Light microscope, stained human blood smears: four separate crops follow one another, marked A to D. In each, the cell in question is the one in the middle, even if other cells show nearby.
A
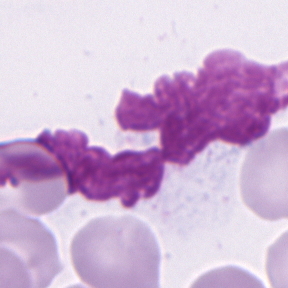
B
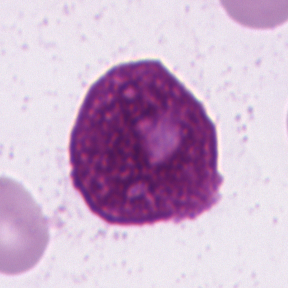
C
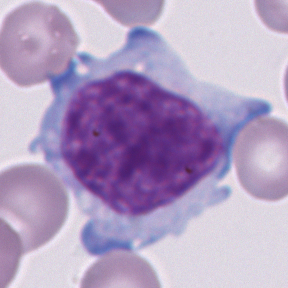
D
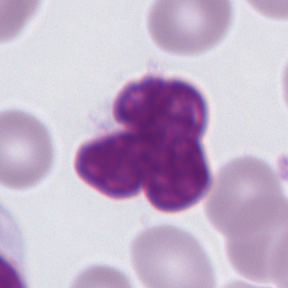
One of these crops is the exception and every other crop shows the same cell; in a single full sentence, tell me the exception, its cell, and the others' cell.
Crop C is the only one that is a myeloblast; all the others show smudge cells.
